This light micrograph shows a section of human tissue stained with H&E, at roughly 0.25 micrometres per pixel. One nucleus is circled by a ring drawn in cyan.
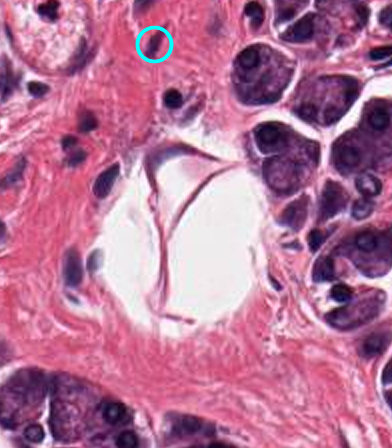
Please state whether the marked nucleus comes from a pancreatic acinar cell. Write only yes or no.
no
